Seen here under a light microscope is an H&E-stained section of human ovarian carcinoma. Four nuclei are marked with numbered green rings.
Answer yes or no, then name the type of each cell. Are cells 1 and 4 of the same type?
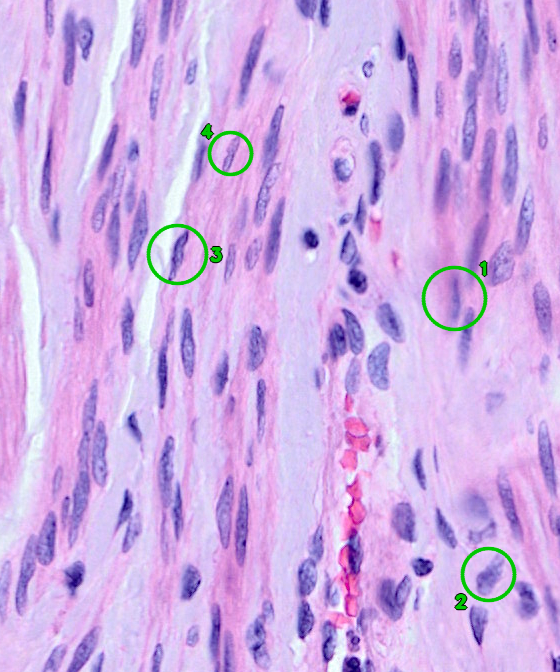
Yes, note that cells 1 and 4 are both smooth muscle cells.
